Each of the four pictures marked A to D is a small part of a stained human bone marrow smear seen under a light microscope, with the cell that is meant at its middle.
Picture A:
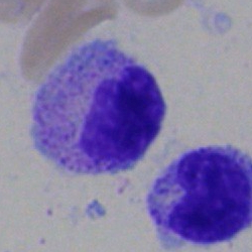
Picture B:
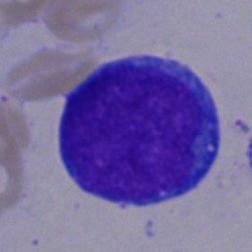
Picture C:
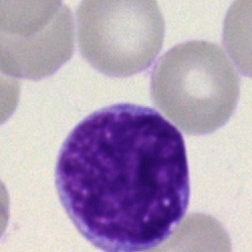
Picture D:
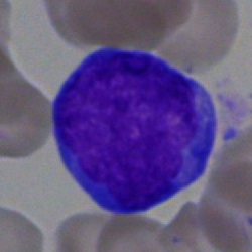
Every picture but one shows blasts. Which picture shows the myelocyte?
A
